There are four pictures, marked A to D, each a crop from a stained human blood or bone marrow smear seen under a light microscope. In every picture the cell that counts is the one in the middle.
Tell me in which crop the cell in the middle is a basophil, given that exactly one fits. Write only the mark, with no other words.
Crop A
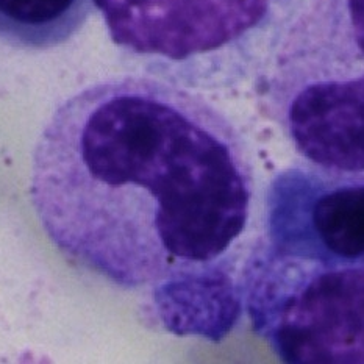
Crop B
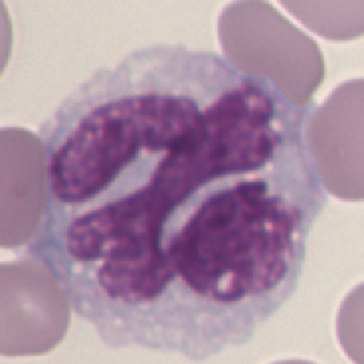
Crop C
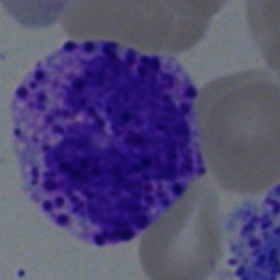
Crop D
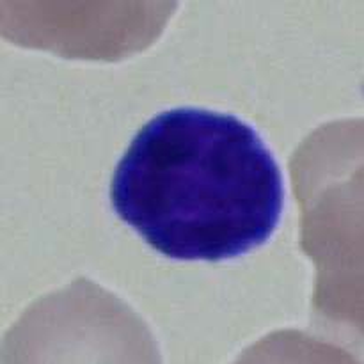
C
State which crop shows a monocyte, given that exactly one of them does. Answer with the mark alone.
B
